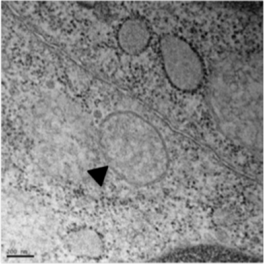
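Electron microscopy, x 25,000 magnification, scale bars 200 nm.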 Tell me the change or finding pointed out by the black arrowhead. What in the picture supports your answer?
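A rounded, pale organelle outlined by a thin membrane. It is larger and lighter than the small dark organelles above it.
Conclusion: mitochondrial swelling and loss of cristae architecture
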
